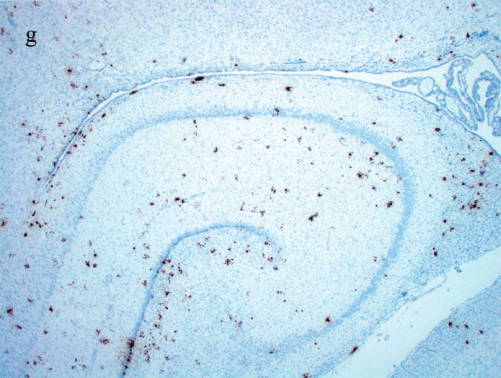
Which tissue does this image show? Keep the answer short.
Hippocampus.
